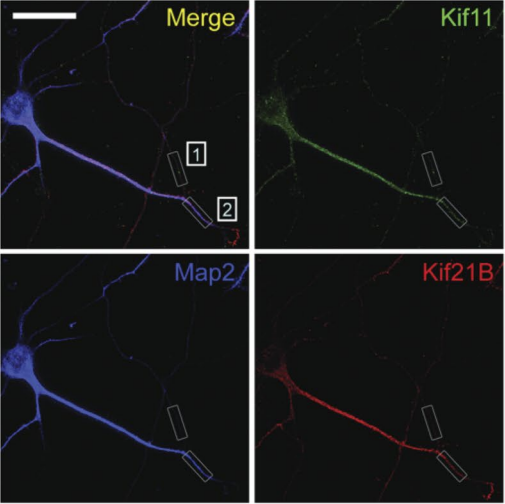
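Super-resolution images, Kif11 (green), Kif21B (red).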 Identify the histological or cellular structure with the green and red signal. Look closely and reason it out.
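Green and red signal appears as small discrete dots along the processes.
Conclusion: puncta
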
